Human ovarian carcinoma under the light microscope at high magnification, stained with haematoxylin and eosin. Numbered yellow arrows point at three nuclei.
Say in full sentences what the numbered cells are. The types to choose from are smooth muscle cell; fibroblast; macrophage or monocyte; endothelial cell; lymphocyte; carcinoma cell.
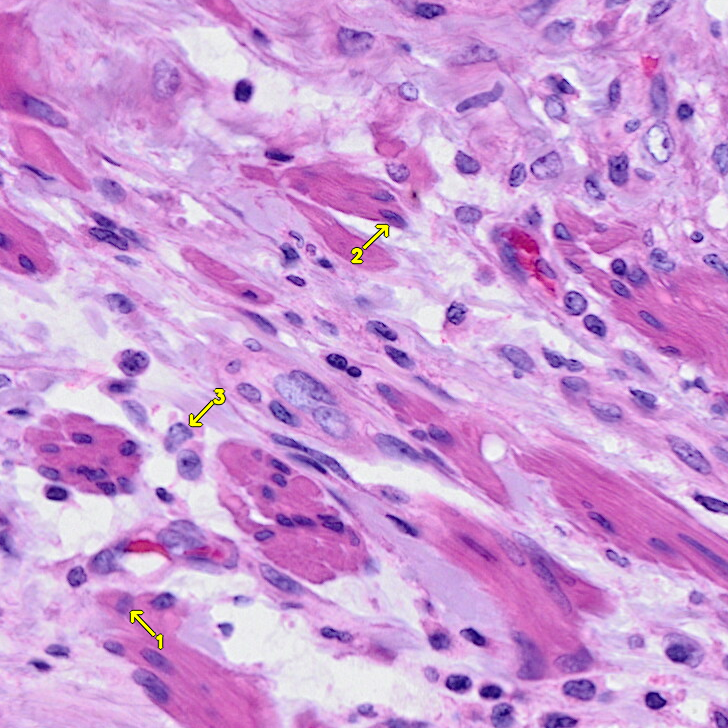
Cell 1 is a smooth muscle cell, cell 2 is a smooth muscle cell and cell 3 is a macrophage or monocyte.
